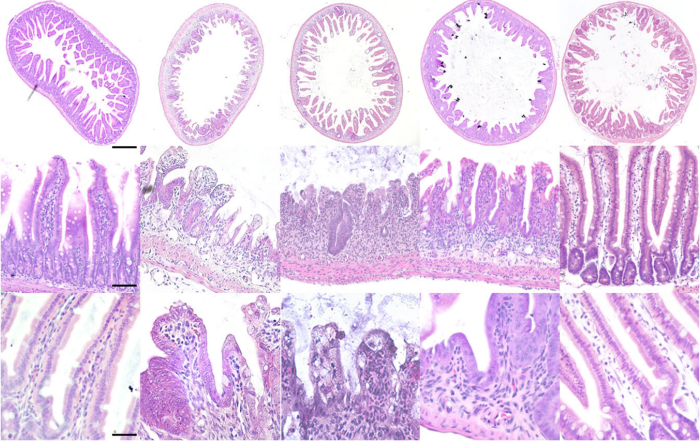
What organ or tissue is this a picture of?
Small intestine.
